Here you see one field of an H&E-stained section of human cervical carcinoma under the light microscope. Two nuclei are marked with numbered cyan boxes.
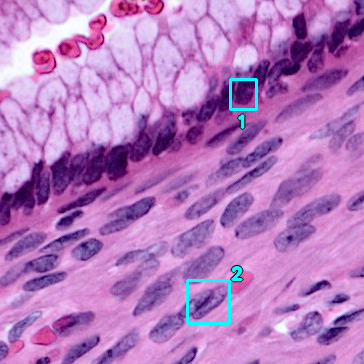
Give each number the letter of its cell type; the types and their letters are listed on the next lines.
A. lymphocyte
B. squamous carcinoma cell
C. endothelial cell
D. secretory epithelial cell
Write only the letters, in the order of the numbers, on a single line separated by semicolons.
D; C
